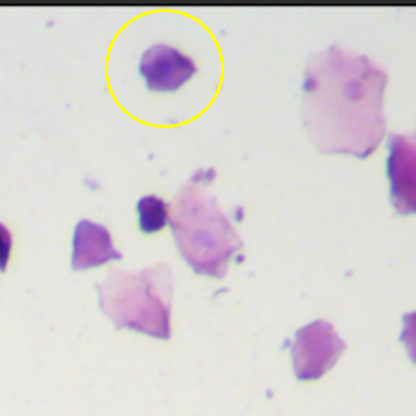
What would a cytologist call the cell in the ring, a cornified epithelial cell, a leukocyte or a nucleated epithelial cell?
A cytologist would call it a nucleated epithelial cell.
